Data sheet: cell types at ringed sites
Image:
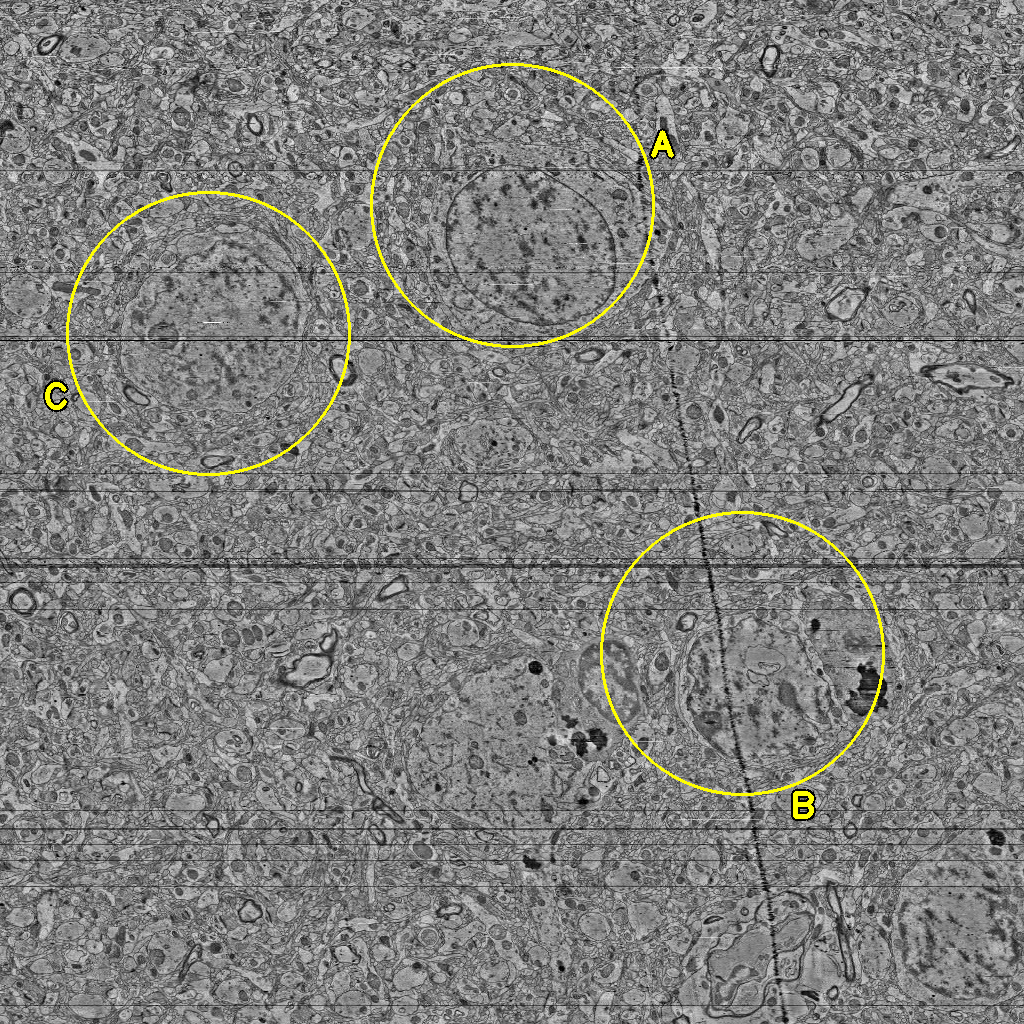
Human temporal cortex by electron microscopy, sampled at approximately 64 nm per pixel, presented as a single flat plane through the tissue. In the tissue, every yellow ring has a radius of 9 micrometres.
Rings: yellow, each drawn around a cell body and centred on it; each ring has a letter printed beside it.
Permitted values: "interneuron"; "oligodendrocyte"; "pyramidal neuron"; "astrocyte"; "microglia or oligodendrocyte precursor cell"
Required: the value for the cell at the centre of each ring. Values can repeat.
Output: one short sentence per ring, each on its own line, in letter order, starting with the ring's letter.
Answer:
Ring A has a pyramidal neuron at its centre.
Ring B has an interneuron at its centre.
Ring C has an interneuron at its centre.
